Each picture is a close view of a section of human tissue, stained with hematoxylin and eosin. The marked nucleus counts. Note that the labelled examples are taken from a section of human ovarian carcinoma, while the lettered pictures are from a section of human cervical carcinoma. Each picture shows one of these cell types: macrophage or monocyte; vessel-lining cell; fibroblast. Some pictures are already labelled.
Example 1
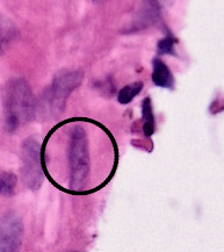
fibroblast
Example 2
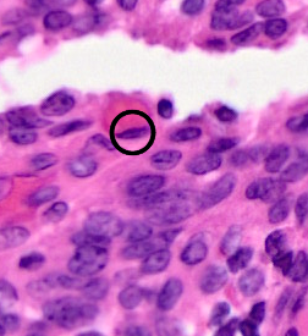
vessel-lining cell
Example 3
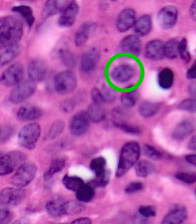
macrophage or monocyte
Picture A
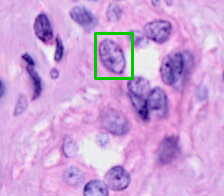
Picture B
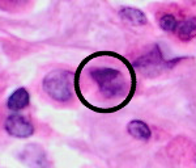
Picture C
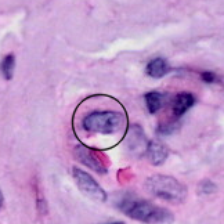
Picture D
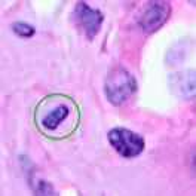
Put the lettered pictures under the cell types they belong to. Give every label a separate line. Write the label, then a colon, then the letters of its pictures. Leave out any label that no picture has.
macrophage or monocyte: B
vessel-lining cell: A, C
fibroblast: D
